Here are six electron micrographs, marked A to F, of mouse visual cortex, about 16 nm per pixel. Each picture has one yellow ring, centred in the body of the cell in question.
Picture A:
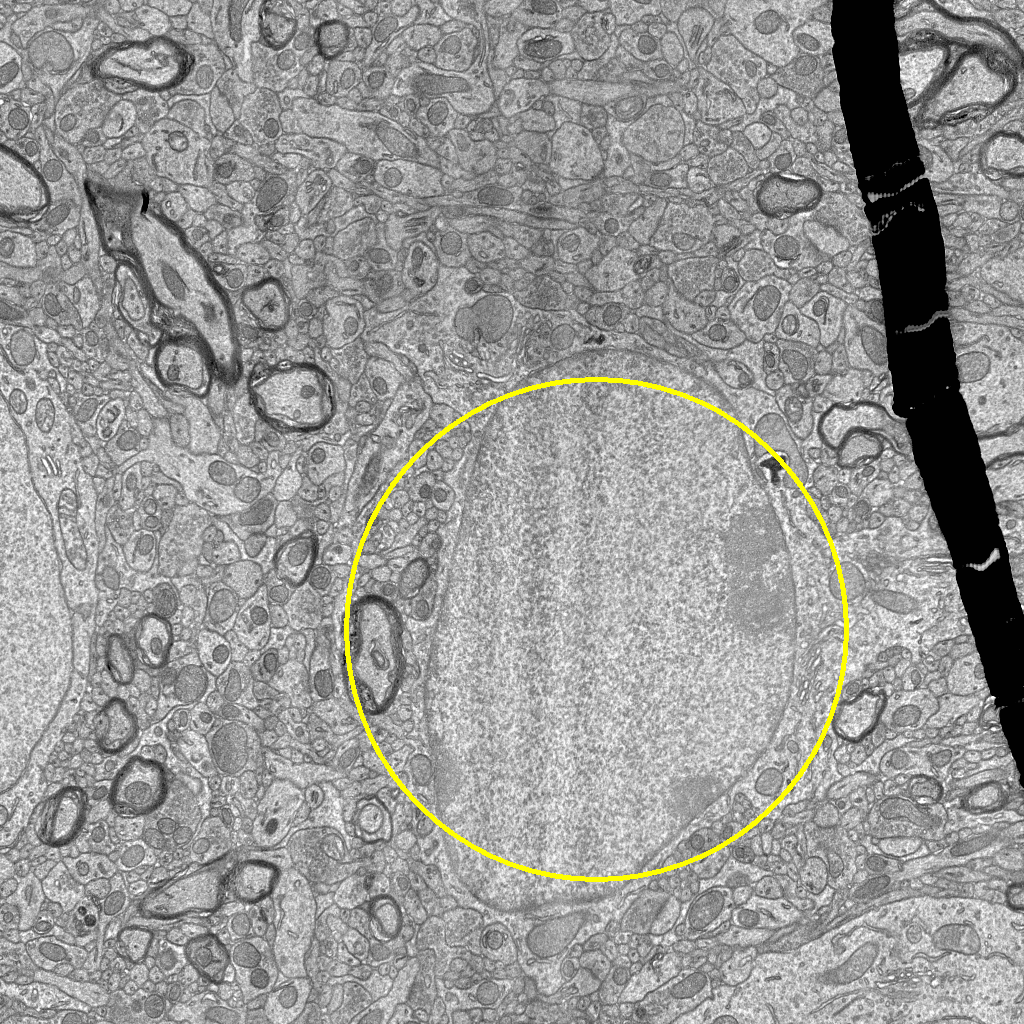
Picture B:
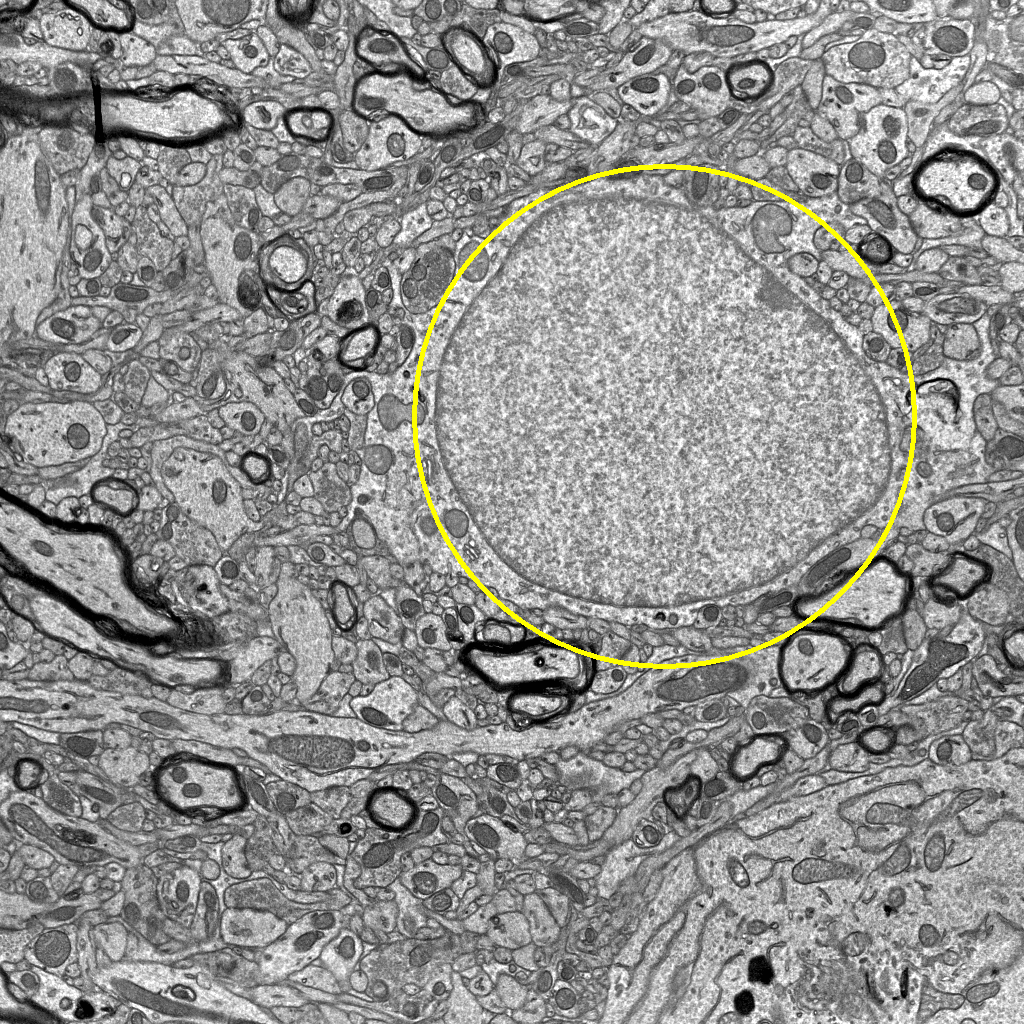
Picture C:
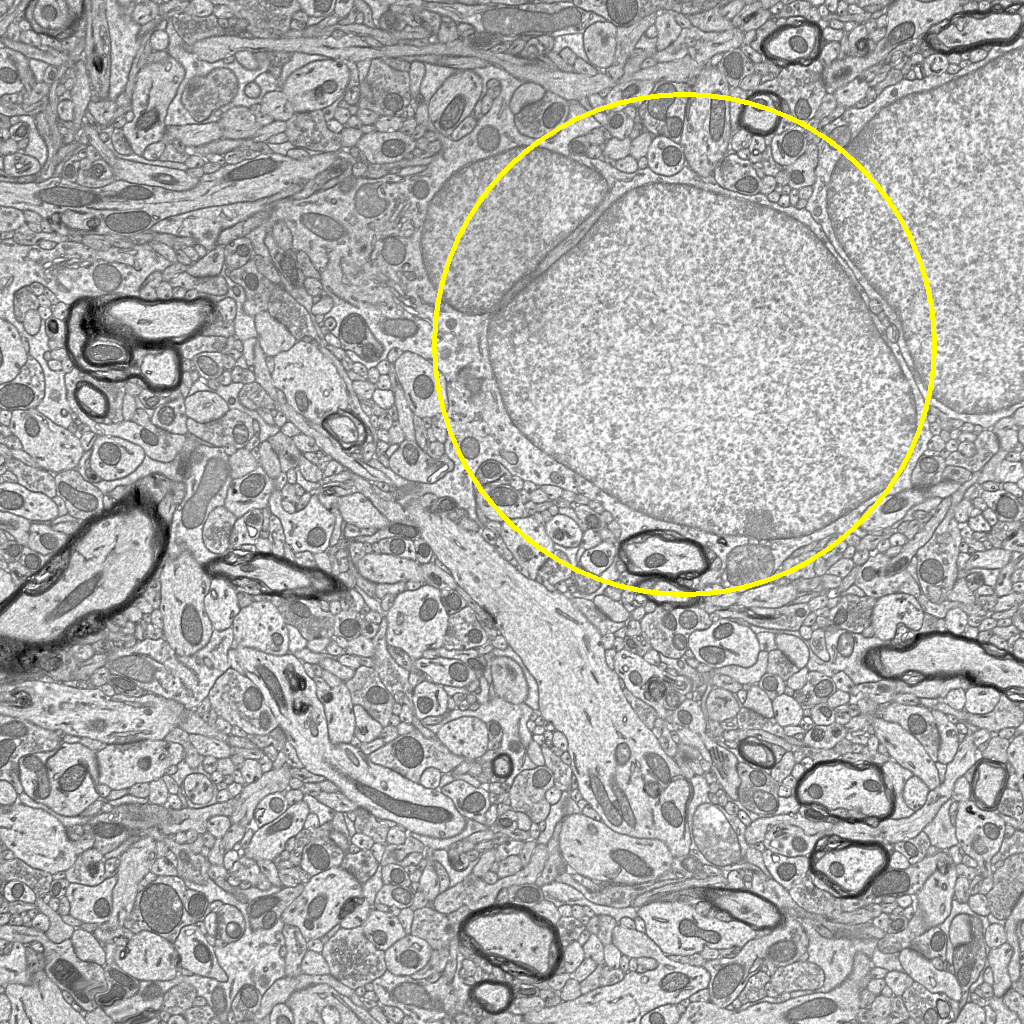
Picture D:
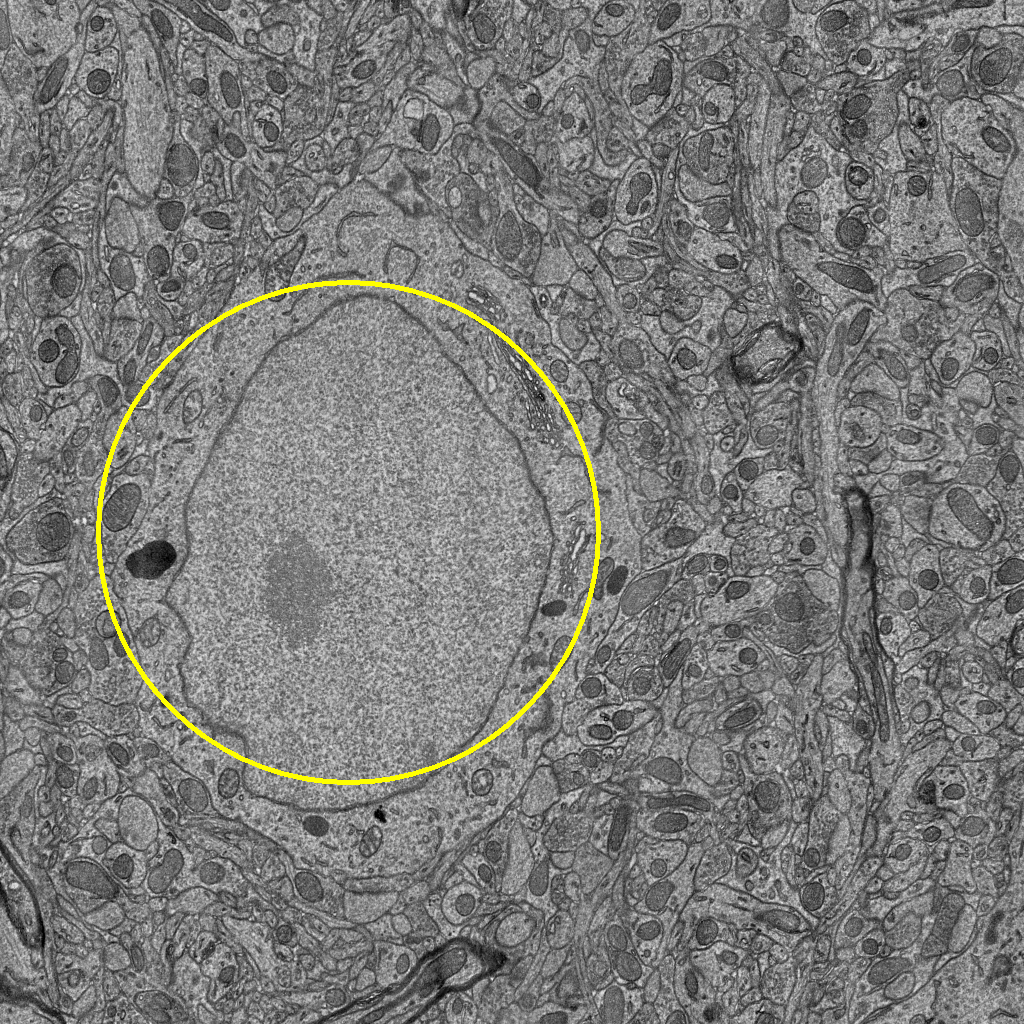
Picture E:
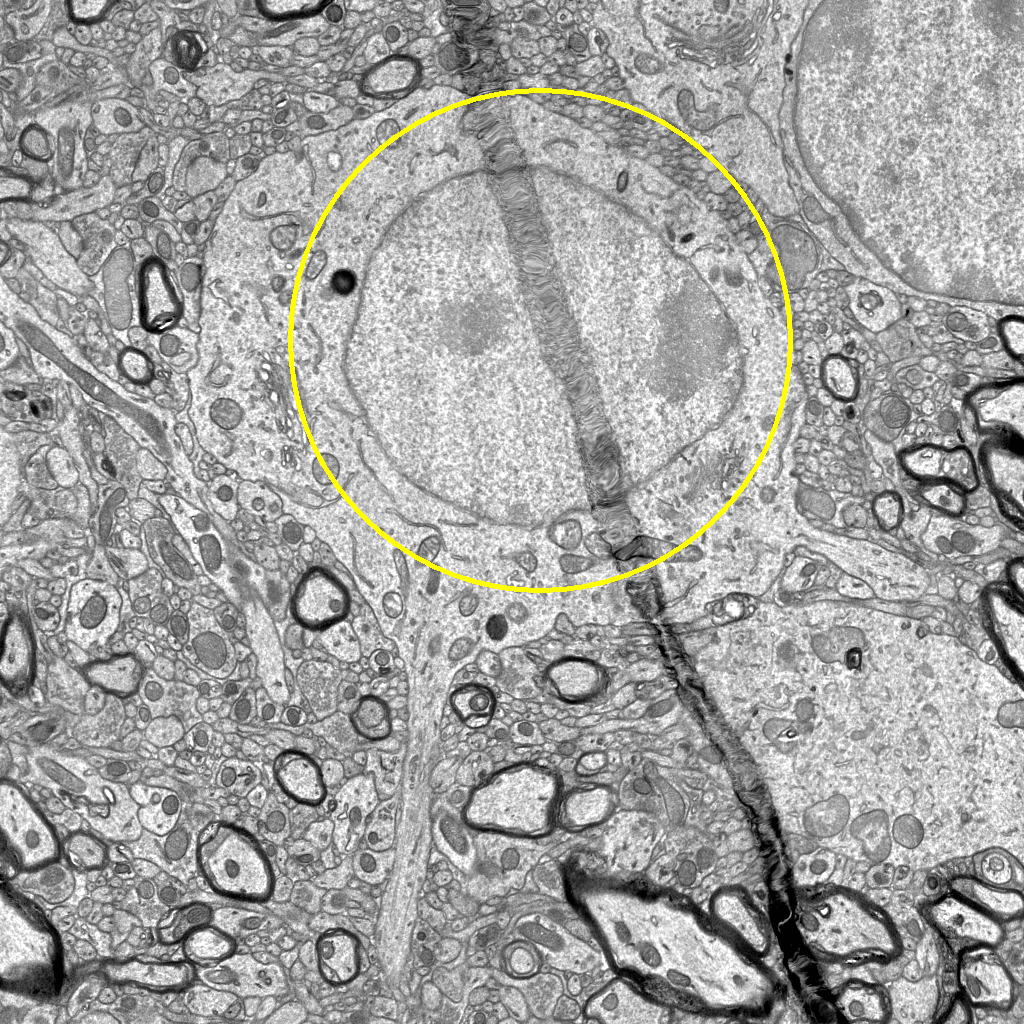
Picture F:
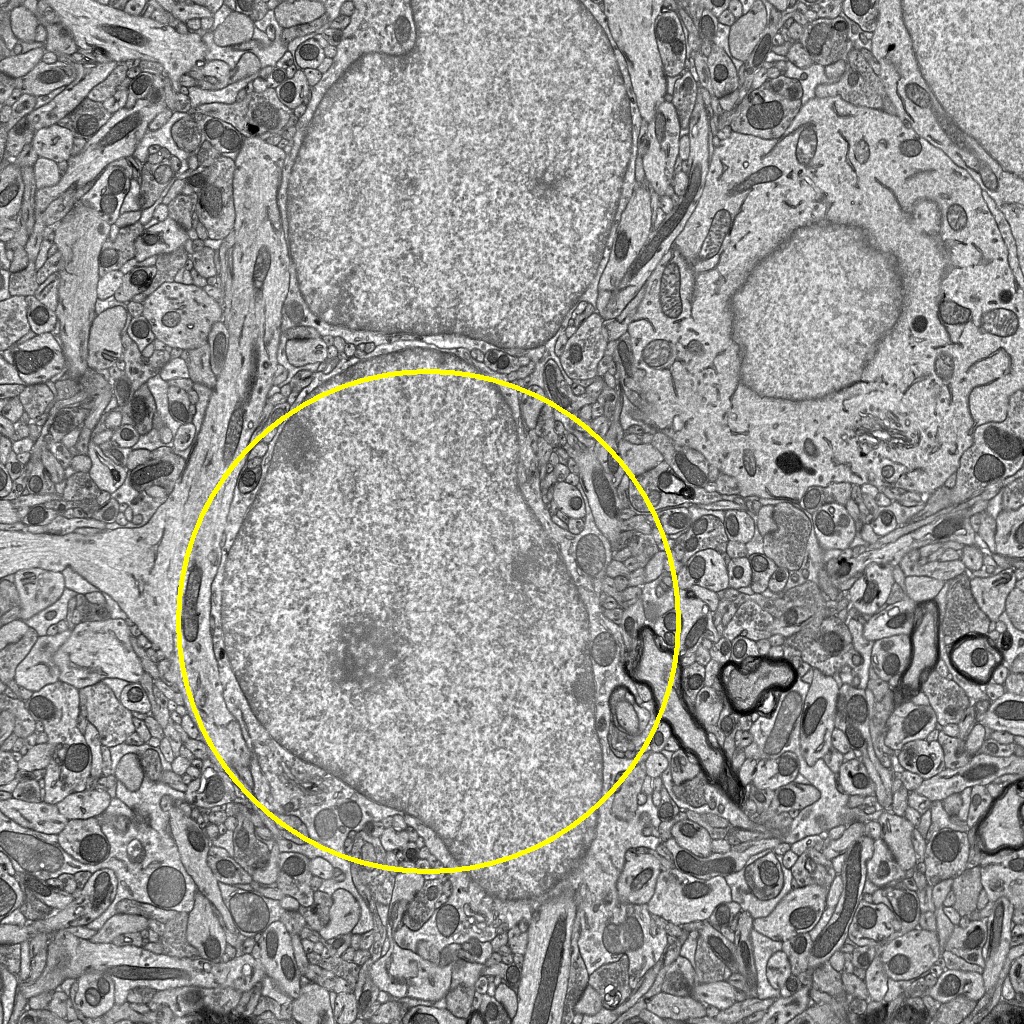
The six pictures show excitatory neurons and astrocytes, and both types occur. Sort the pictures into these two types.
Pictures D and E show excitatory neurons; pictures A, B, C and F show astrocytes.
